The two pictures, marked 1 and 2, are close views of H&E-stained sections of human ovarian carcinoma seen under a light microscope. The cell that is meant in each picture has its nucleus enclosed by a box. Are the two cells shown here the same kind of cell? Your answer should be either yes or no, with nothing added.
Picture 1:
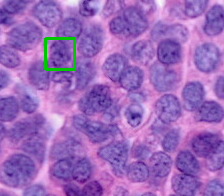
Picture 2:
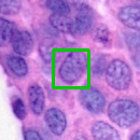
yes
